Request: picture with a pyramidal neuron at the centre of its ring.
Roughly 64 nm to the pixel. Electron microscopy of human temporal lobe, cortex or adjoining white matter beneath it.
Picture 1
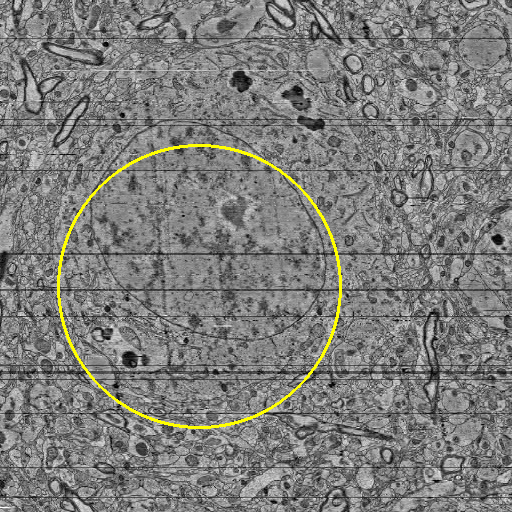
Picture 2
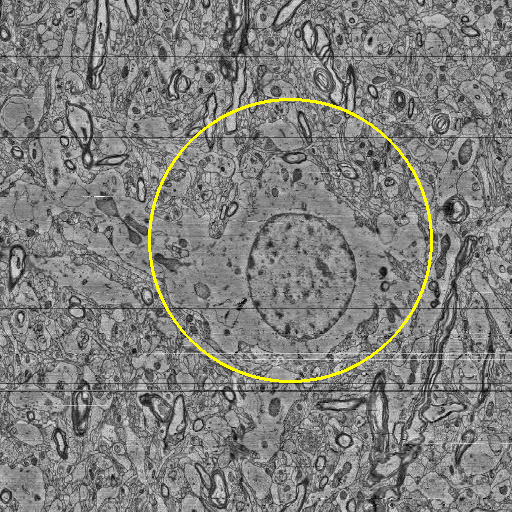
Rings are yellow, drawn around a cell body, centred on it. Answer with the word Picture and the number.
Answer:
Picture 1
